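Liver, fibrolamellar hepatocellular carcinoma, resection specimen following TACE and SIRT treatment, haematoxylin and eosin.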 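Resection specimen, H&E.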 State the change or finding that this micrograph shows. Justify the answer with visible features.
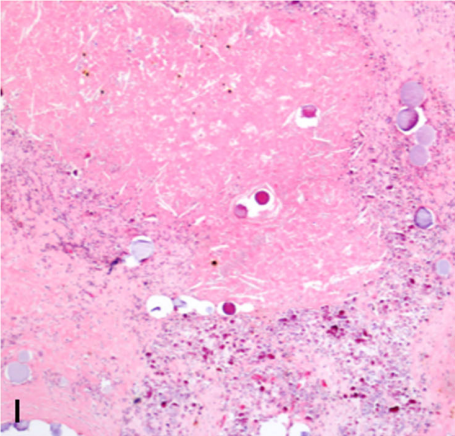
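Coagulative tumour necrosis. A large pink area lacks nuclei. Needle-like clefts lie within the pink area. Round purple spheres lie at the edges.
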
